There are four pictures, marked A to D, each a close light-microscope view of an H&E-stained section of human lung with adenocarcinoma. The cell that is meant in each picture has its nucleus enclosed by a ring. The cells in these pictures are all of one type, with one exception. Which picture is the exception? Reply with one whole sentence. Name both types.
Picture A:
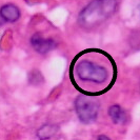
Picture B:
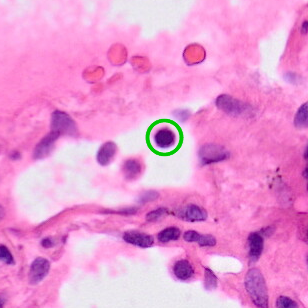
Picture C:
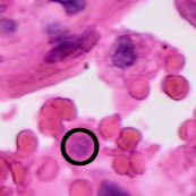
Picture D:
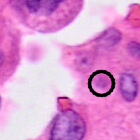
The different one is picture B; it shows a lymphocyte, whereas all the others show “macrophages or monocytes”.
